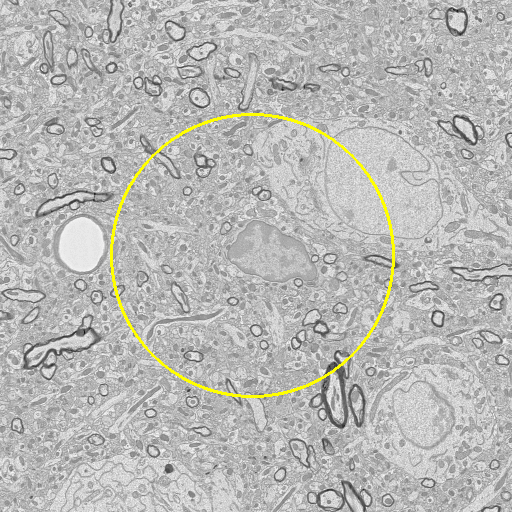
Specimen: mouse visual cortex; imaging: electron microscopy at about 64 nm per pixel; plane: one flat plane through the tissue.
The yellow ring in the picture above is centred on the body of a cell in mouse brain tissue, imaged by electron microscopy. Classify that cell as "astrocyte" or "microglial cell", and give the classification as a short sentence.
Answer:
The cell in the middle of the ring is a microglial cell.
